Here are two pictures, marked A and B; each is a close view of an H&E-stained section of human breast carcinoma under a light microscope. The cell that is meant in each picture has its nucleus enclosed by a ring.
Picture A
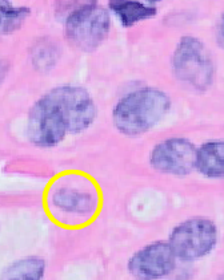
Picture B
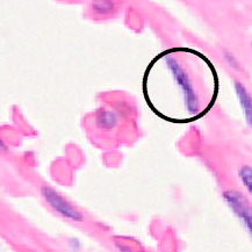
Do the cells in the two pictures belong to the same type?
yes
